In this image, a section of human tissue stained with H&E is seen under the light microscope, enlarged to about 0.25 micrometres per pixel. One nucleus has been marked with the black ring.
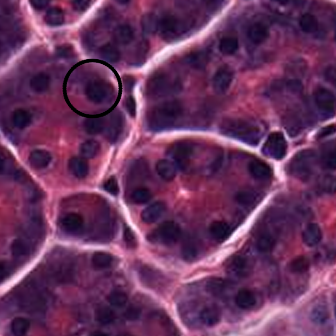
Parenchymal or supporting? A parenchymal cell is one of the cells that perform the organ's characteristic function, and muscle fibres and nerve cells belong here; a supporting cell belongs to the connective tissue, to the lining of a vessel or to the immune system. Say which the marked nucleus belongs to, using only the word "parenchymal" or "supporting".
parenchymal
